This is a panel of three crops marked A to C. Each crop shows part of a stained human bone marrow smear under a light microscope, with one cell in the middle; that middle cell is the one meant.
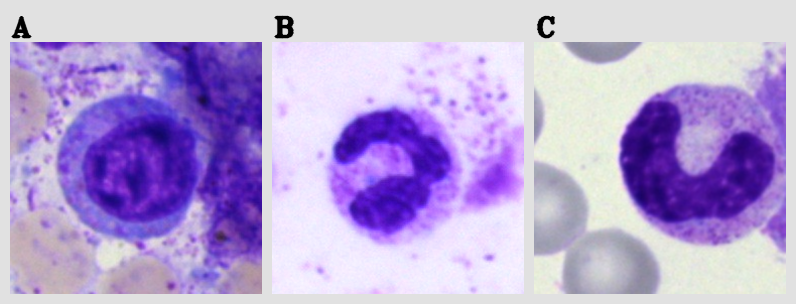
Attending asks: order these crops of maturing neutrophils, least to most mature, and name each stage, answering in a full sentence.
Least to most mature, the order stands as crop A (a promyelocyte), crop C (a band neutrophil) and crop B (a segmented neutrophil).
